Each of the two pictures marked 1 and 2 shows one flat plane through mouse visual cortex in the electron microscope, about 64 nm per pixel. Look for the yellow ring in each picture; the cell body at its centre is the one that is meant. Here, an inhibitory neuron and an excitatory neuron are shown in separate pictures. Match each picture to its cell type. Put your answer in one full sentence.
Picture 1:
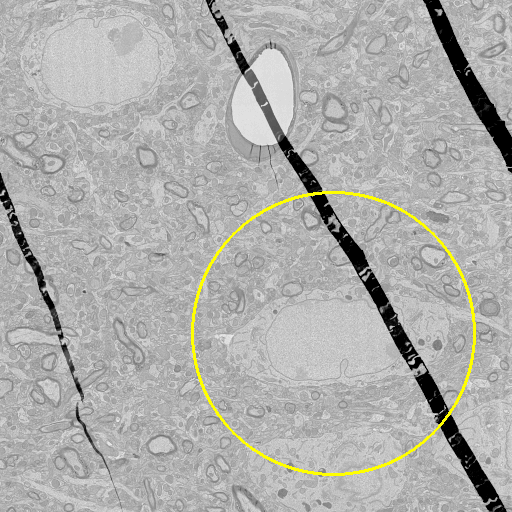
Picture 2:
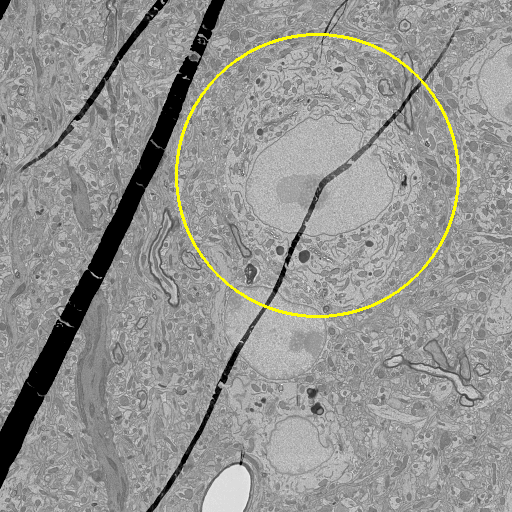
It is picture 1 that shows an excitatory neuron, and picture 2 that shows an inhibitory neuron.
